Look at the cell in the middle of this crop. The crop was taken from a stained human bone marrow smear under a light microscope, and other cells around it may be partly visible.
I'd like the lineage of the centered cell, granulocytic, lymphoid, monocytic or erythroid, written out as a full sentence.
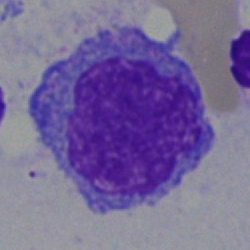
The cell in the middle of the crop is considered part of the monocytic lineage.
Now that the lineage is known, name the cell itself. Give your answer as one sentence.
The cell of interest, located centrally, is a monocyte.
